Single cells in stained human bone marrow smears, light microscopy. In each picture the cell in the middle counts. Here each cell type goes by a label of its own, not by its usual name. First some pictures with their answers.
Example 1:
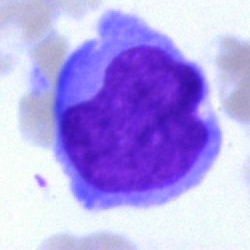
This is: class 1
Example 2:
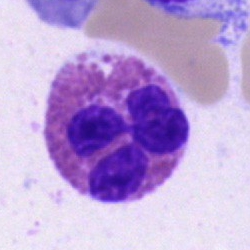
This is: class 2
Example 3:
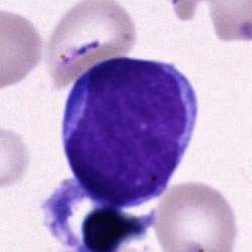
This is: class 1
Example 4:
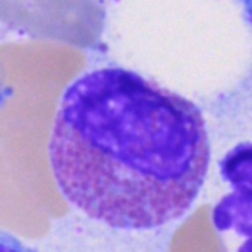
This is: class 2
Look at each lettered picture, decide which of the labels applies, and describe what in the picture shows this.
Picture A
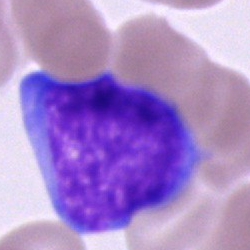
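class 1. Evidence: The cytoplasm is a scant rim that is widest along the left edge.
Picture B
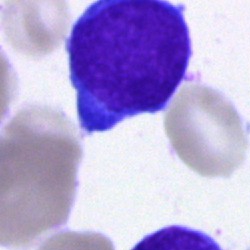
class 1. Evidence: The cytoplasm is scant and deep blue, seen mostly in the bulge at the lower left.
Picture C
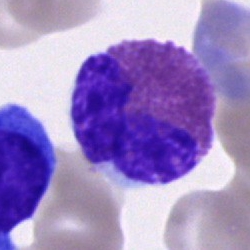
class 2. Evidence: The nuclear chromatin is dark purple and coarsely clumped.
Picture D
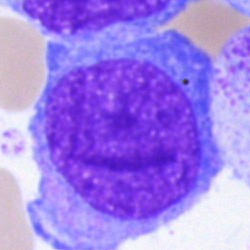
class 1. Evidence: The chromatin is finely granular with small pale speckles, not coarsely clumped.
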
